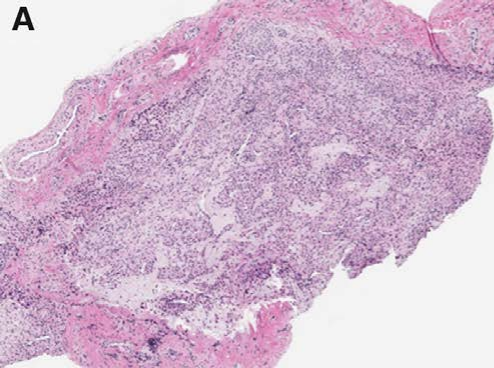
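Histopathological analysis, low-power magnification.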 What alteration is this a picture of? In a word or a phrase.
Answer: Well-circumscribed and encapsulated tumor.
